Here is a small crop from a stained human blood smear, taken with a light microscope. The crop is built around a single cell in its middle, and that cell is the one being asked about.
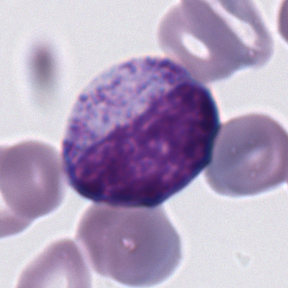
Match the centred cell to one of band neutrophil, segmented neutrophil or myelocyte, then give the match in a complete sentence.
Where the crop is centred, there is a myelocyte.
